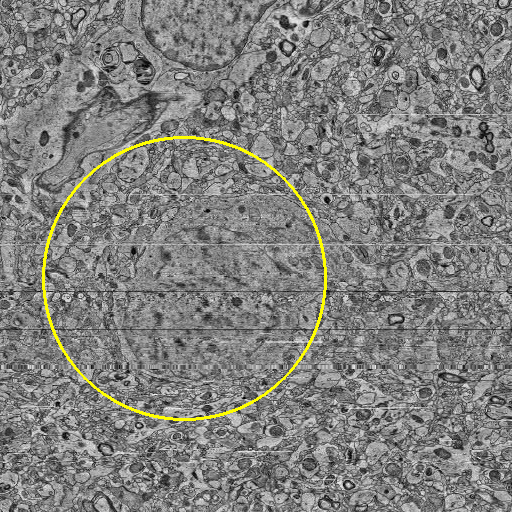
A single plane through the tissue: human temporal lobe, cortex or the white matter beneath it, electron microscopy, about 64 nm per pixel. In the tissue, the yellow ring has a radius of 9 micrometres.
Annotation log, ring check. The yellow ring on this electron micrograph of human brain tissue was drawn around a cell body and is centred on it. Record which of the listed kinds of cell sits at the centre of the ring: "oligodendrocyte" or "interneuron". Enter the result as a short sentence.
The cell at the centre of the ring is an interneuron.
